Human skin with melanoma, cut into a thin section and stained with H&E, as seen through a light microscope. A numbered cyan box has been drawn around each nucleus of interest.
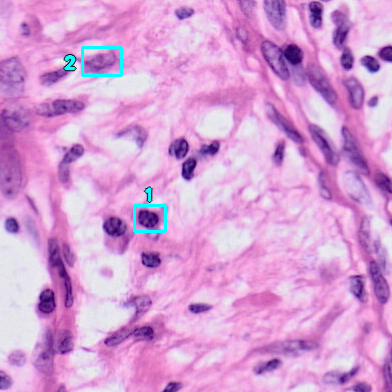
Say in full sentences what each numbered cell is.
Cell 1 is a plasma cell and cell 2 is a fibroblast or myofibroblast.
